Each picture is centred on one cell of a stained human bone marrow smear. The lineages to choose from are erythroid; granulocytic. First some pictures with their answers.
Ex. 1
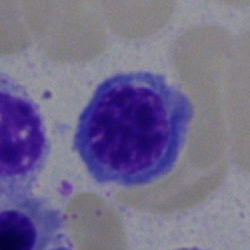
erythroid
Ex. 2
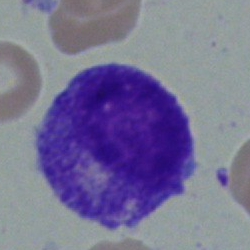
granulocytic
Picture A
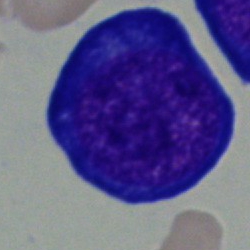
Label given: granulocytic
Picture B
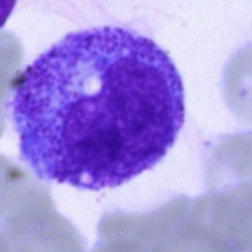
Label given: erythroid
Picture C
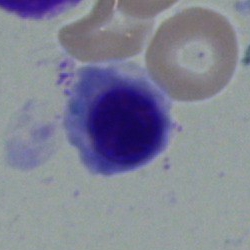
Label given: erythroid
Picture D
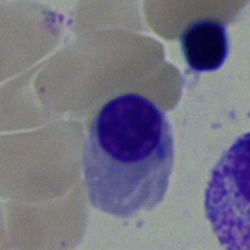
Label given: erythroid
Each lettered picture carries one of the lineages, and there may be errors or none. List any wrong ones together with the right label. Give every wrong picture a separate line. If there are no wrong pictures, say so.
A: change granulocytic to erythroid
B: change erythroid to granulocytic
